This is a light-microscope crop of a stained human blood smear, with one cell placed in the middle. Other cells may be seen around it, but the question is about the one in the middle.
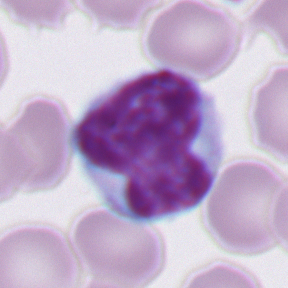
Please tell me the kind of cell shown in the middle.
typical lymphocyte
